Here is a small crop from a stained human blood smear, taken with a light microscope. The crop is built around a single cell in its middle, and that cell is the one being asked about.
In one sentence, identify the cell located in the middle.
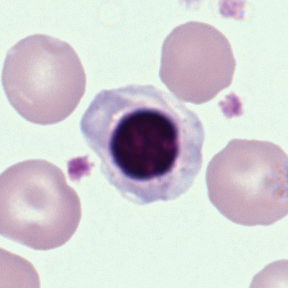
This particular crop is centered on a normoblast.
